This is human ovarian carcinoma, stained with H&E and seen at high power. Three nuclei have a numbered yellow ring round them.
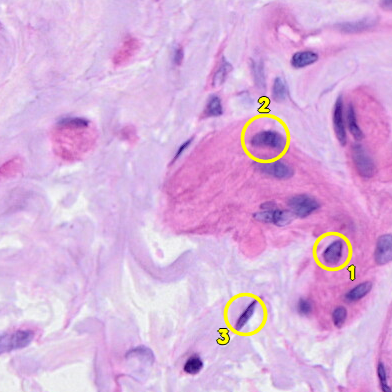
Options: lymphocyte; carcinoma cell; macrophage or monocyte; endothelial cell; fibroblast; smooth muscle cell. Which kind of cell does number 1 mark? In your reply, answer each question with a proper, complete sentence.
In this section, the cell tagged 1 is a smooth muscle cell.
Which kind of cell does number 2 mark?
The cell referenced by the number 2 is a smooth muscle cell in this field.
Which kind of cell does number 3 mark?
To a fibroblast belongs the nucleus marked 3.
